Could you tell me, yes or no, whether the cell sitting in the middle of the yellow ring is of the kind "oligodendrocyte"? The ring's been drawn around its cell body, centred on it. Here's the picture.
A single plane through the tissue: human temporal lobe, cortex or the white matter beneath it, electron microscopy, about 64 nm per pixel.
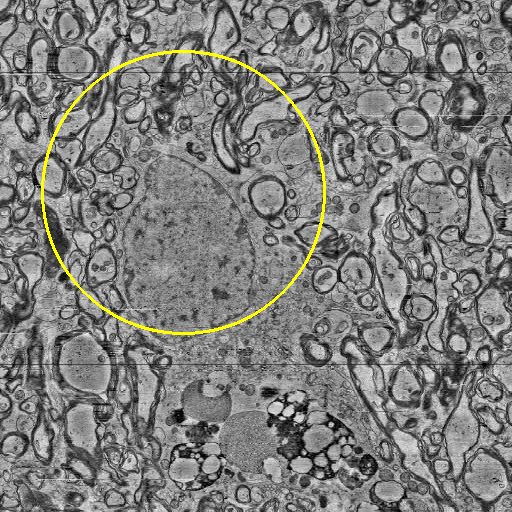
No, it is of another kind.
